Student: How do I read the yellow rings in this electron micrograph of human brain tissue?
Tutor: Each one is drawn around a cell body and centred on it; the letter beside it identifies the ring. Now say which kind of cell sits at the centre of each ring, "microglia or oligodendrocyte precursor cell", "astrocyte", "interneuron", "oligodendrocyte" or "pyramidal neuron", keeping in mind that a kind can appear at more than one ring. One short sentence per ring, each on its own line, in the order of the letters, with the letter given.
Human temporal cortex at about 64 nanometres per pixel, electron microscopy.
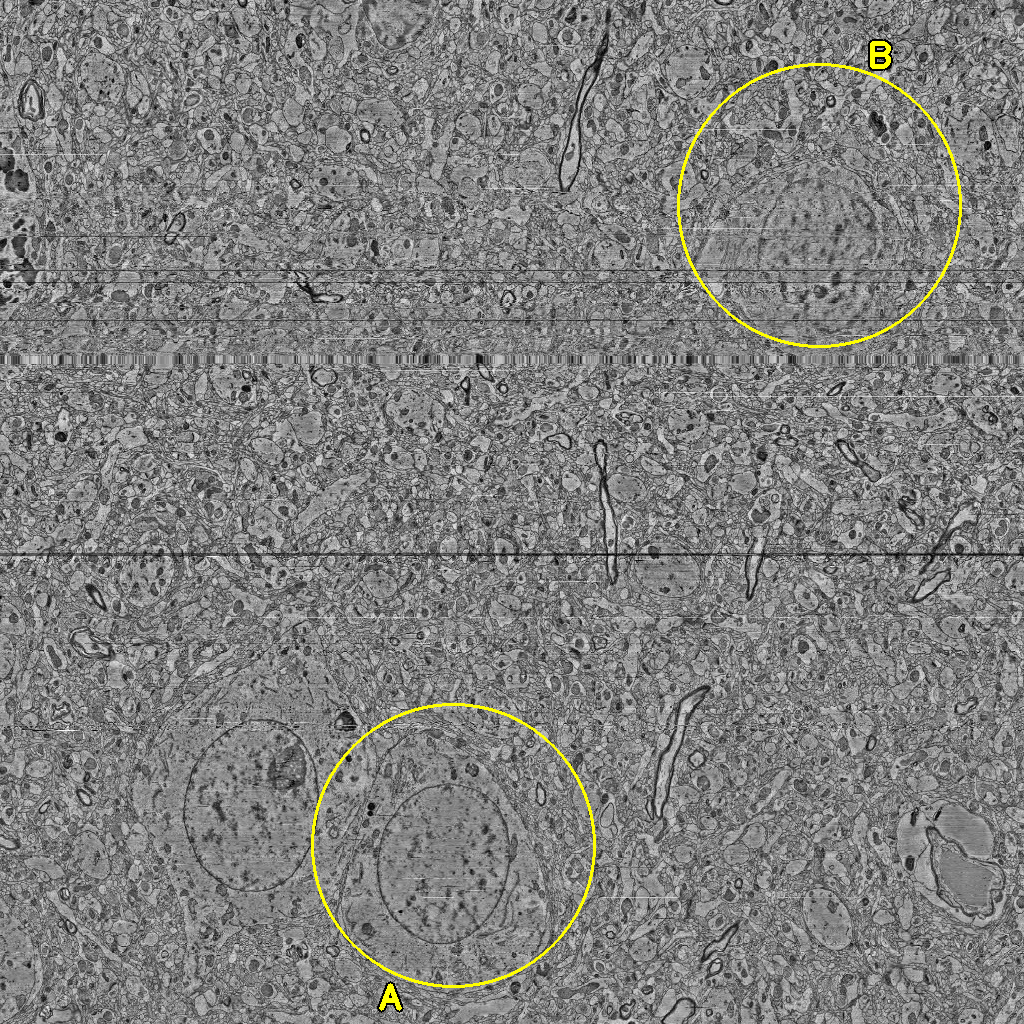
In the centre of ring A is a pyramidal neuron.
In the centre of ring B is an interneuron.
